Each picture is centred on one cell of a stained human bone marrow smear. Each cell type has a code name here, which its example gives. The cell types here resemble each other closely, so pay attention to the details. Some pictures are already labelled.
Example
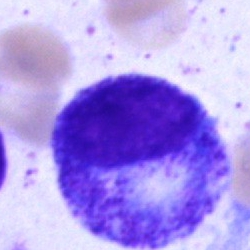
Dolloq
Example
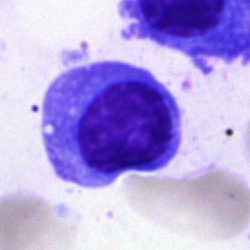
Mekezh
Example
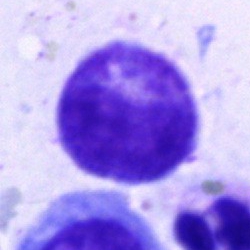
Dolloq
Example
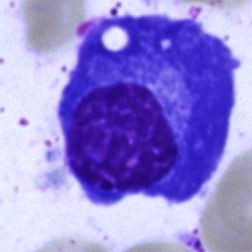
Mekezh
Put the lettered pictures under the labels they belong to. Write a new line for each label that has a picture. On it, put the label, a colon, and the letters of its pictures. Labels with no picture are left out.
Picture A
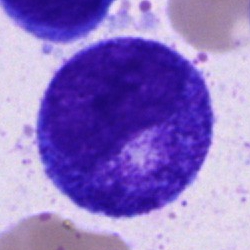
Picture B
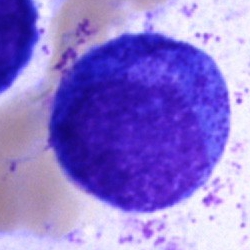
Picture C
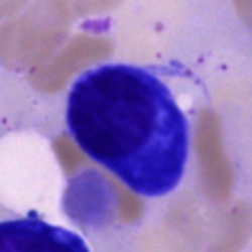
Dolloq: A, B
Mekezh: C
